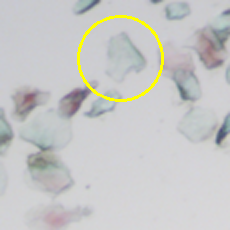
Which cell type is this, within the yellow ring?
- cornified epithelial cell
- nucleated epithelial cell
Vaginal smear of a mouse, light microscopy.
Within the ring is a cornified epithelial cell.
